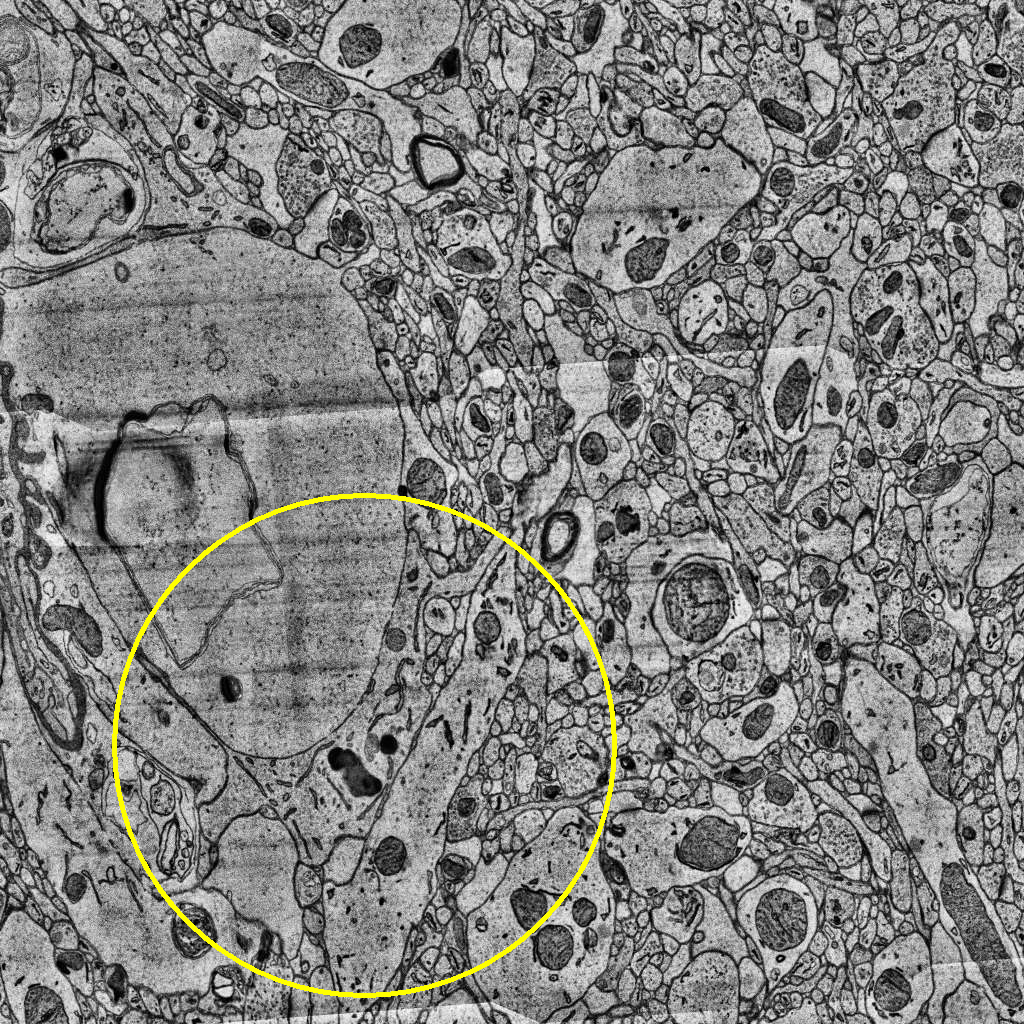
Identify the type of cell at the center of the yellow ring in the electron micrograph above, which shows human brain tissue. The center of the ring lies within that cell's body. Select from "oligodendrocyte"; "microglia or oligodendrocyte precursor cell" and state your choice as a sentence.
The center of the yellow ring lies in the body of a microglial cell or oligodendrocyte precursor cell.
